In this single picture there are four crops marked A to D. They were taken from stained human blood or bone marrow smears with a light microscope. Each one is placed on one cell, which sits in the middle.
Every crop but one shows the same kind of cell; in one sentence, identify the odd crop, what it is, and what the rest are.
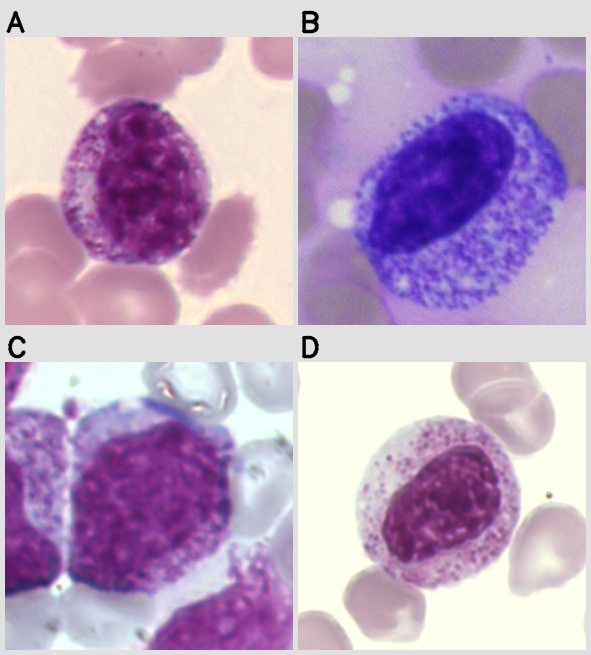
Whereas the other crops all show myelocytes, crop C shows a promyelocyte.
